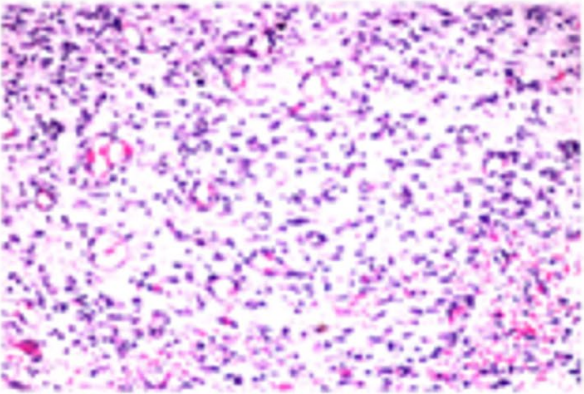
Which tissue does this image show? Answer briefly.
granulation tissue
